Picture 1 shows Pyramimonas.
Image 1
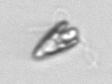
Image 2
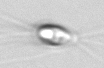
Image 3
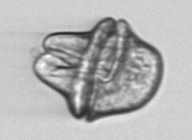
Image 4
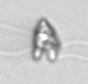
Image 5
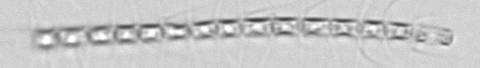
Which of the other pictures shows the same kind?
Picture 4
